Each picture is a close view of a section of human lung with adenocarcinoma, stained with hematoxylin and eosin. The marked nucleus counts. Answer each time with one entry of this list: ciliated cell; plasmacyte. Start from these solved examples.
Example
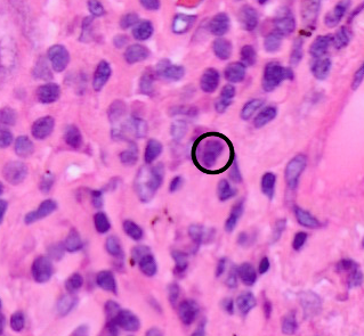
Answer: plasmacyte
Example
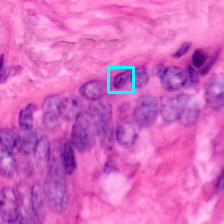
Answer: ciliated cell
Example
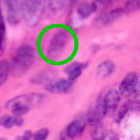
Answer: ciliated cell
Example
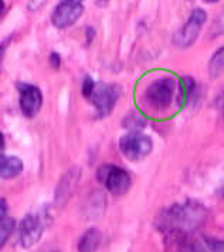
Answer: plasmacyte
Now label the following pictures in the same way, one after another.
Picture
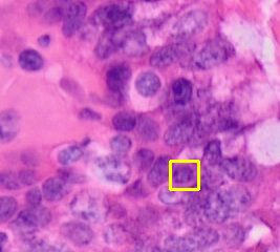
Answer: ciliated cell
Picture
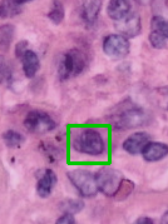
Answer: plasmacyte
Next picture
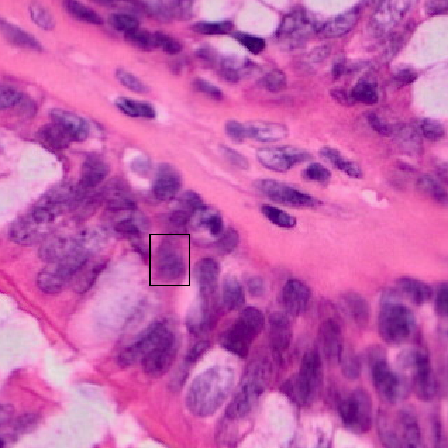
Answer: ciliated cell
